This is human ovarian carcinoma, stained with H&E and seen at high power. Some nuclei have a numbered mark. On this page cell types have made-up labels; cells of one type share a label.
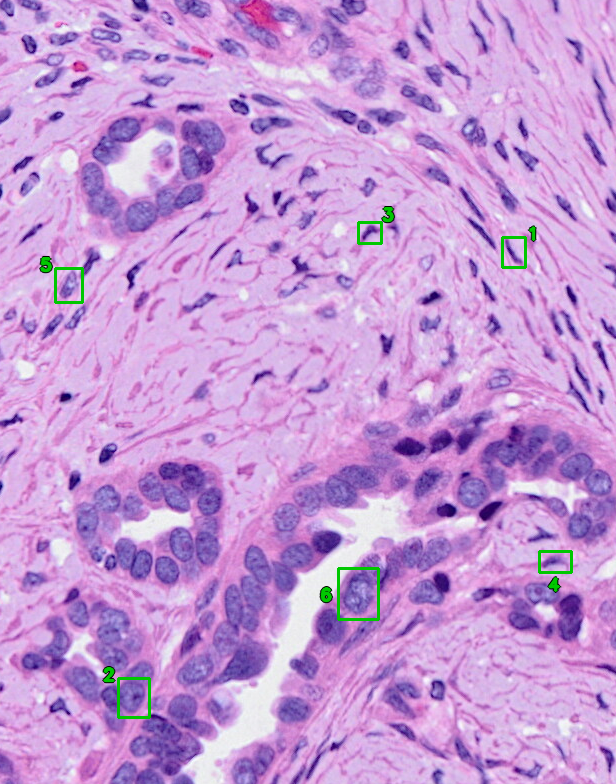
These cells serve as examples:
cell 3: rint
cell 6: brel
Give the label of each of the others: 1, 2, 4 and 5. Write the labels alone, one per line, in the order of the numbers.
rint
brel
rint
rint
